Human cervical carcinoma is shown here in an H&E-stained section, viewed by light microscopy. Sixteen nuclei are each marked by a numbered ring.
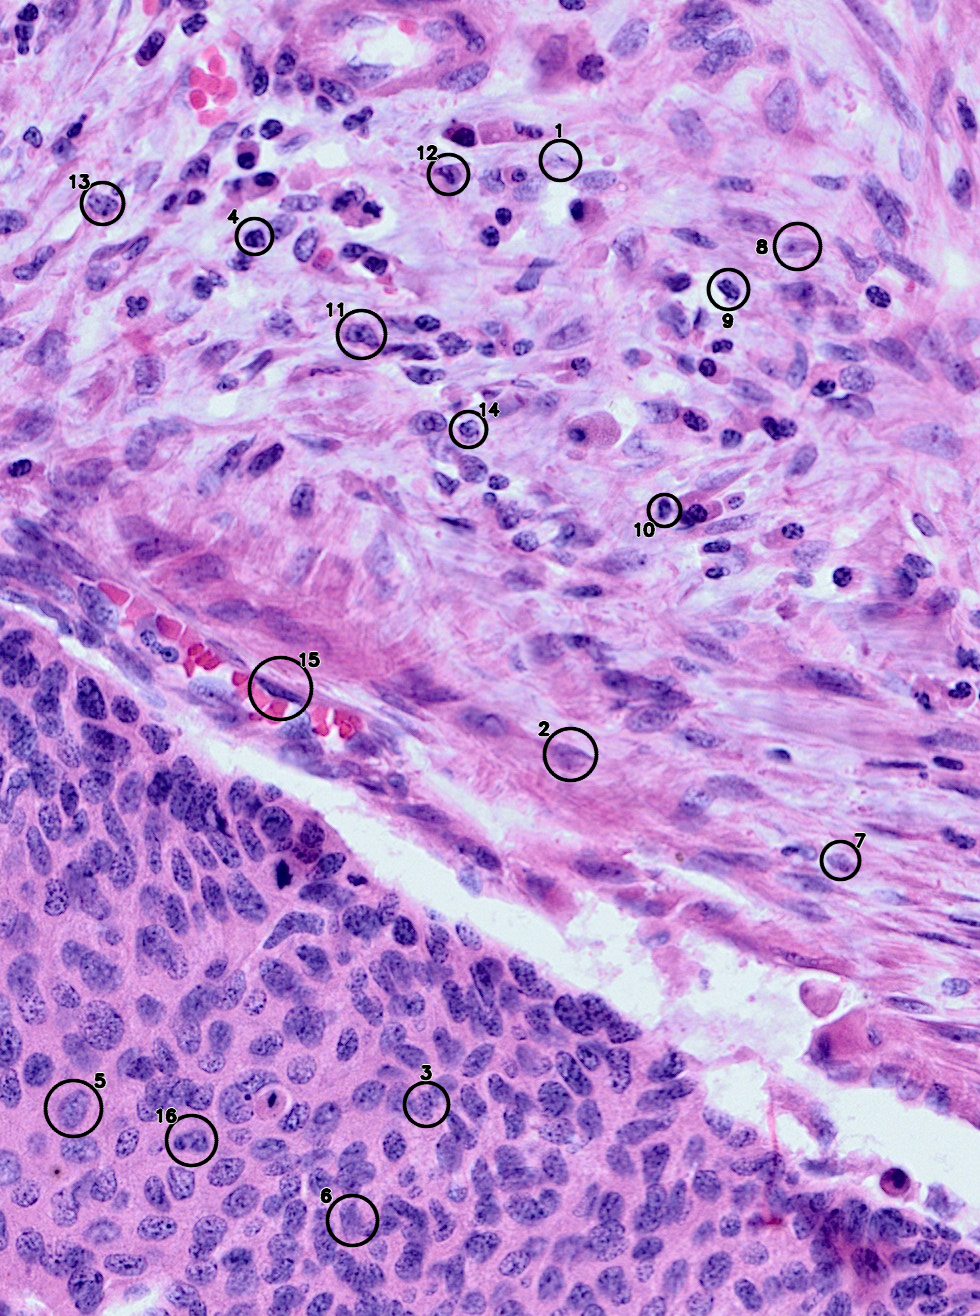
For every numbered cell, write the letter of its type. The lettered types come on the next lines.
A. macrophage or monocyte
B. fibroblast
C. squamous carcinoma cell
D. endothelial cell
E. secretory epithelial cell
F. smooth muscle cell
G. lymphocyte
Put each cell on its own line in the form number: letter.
1: B
2: B
3: C
4: G
5: C
6: C
7: B
8: B
9: G
10: G
11: A
12: A
13: A
14: G
15: D
16: C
